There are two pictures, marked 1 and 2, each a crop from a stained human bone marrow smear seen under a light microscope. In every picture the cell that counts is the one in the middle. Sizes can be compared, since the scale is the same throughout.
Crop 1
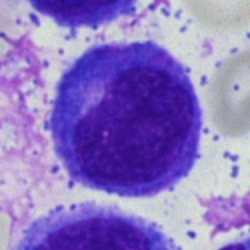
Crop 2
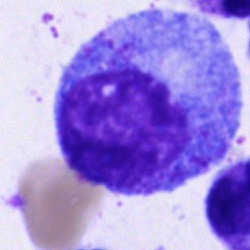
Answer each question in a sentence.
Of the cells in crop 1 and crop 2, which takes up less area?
It is the cell in crop 1; the cell in crop 2 has about 1.5 times its area.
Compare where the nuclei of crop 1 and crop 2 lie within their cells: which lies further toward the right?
In crop 1 the nucleus is shifted more toward the right.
